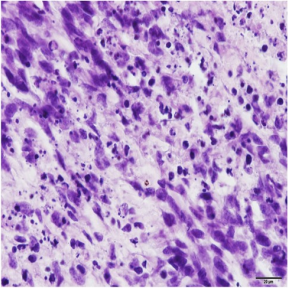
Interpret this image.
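Tumor tissue with elongated and irregular purple-staining tumor cells lying in a looser, paler background. Many small, round, dark nuclei of lymphocytes are scattered between the tumor cells, along with small dark nuclear fragments.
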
